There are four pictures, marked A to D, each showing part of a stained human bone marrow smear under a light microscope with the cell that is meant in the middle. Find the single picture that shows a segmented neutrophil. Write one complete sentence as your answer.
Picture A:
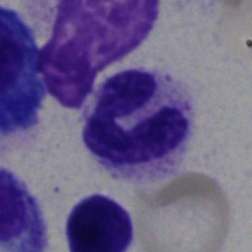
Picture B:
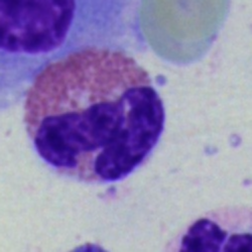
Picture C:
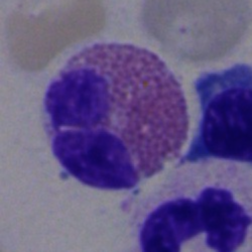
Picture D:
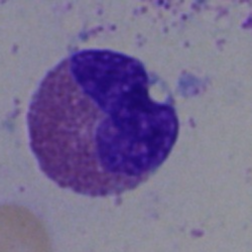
The picture with the segmented neutrophil is A.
